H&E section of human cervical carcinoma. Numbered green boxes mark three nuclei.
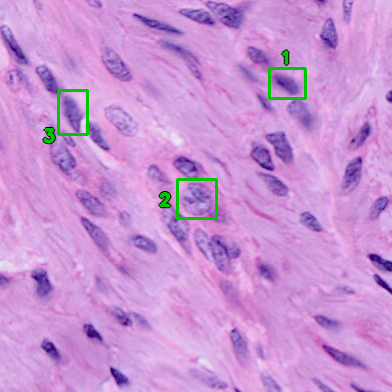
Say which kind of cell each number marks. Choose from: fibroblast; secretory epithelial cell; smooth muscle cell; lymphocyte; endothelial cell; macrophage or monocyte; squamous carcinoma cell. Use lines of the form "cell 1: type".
cell 1: fibroblast
cell 2: endothelial cell
cell 3: fibroblast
